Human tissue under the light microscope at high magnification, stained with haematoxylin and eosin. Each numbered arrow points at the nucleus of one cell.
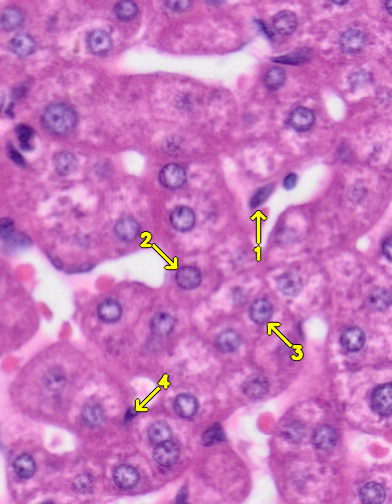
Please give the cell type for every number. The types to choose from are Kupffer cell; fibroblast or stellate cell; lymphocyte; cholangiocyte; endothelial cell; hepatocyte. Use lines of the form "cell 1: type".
cell 1: Kupffer cell
cell 2: hepatocyte
cell 3: hepatocyte
cell 4: fibroblast or stellate cell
